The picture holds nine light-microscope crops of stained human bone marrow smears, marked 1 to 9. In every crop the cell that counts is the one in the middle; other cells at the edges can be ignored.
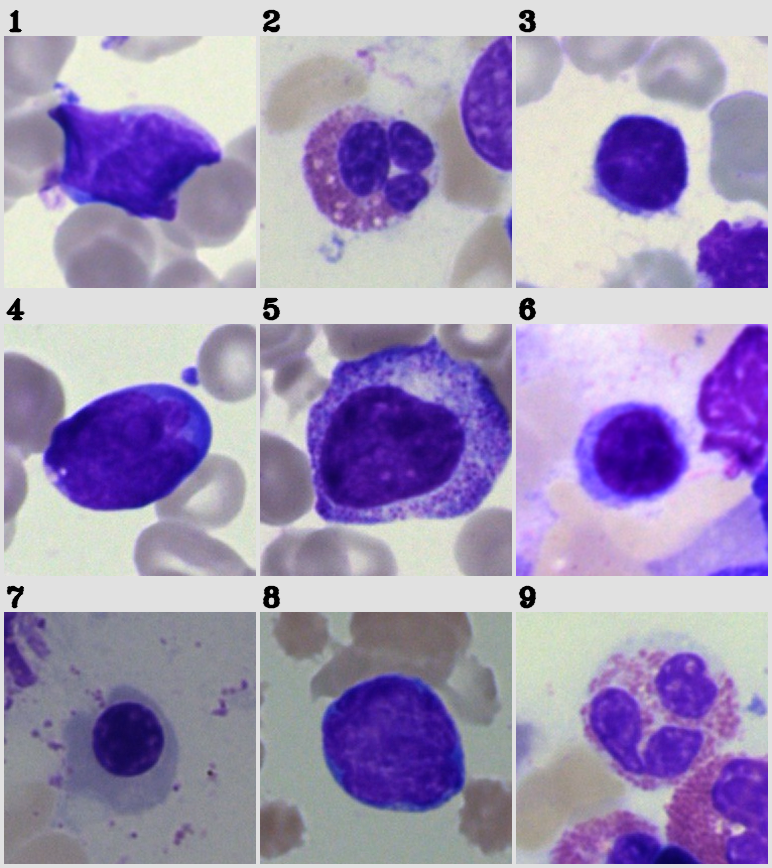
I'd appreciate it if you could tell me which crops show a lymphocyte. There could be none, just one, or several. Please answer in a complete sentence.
Crops 3 and 6 are the ones showing lymphocytes.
